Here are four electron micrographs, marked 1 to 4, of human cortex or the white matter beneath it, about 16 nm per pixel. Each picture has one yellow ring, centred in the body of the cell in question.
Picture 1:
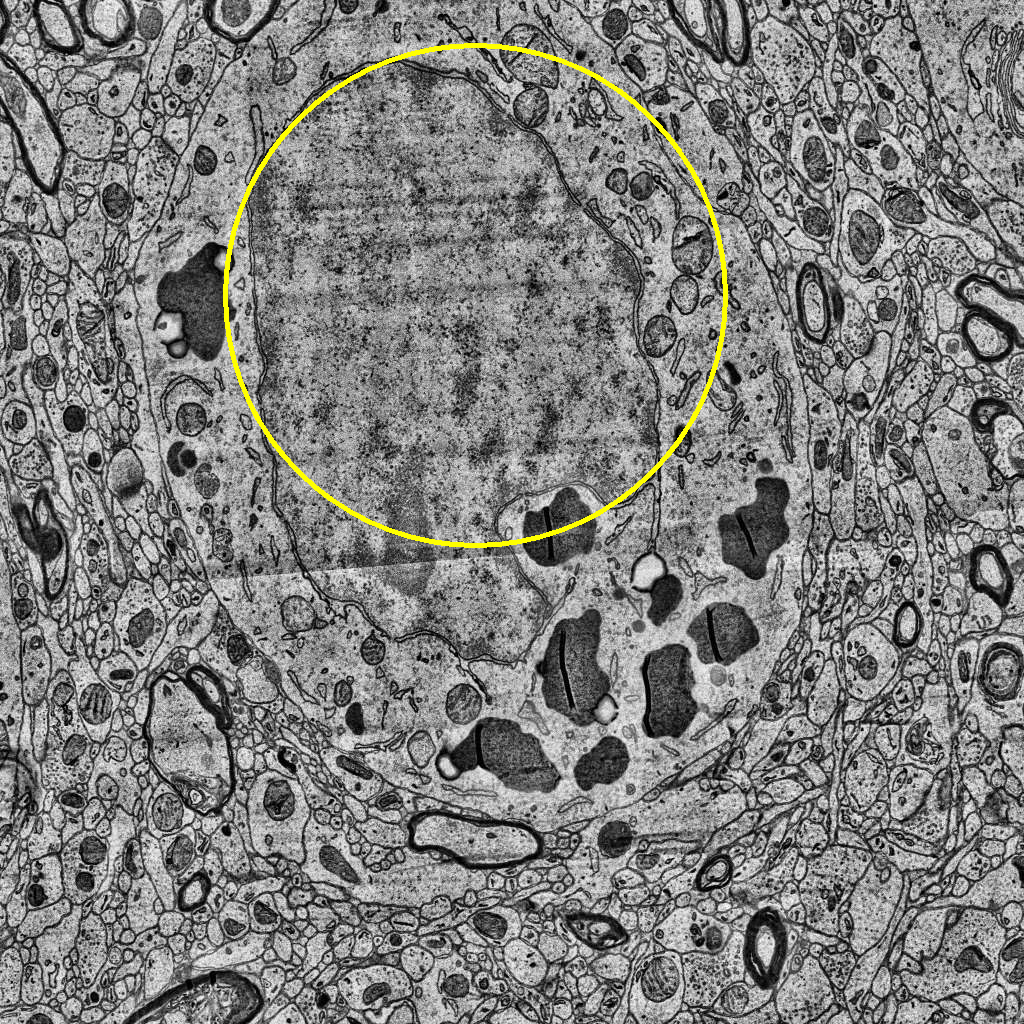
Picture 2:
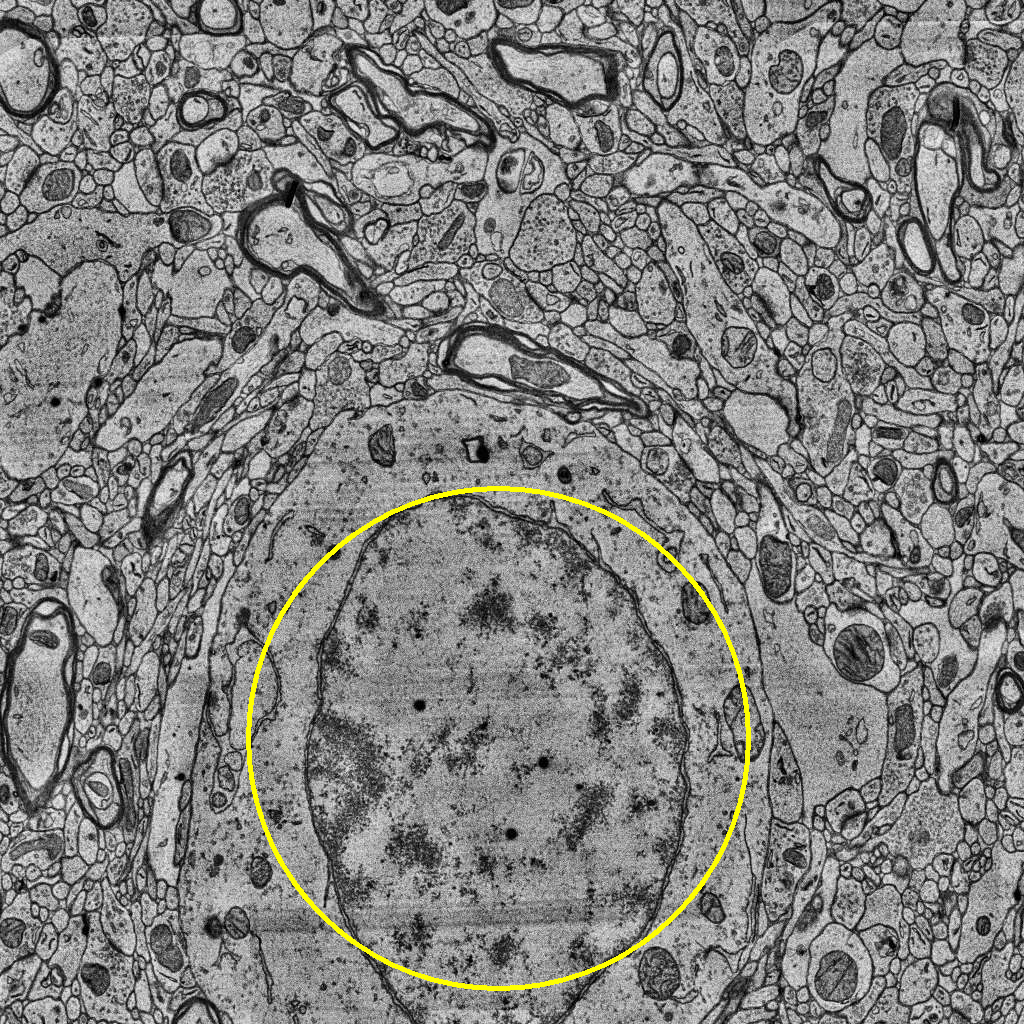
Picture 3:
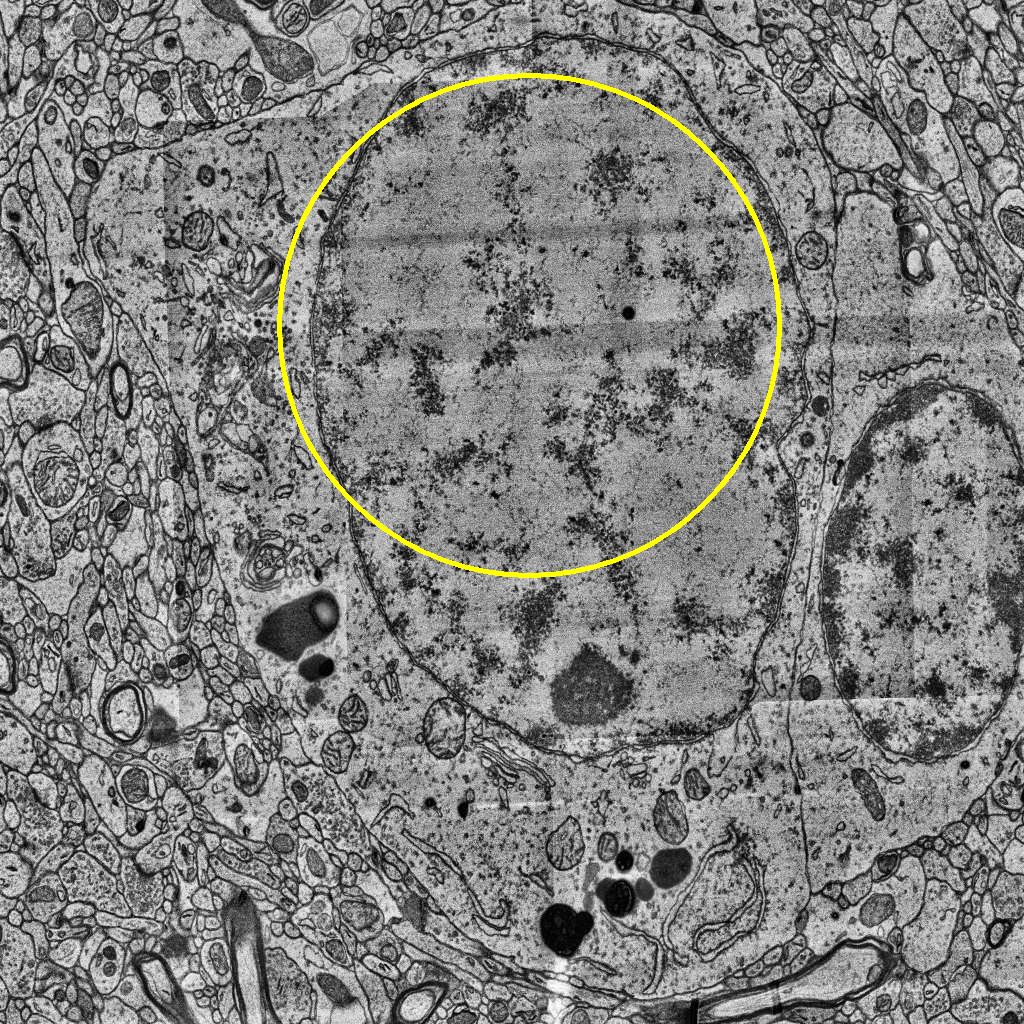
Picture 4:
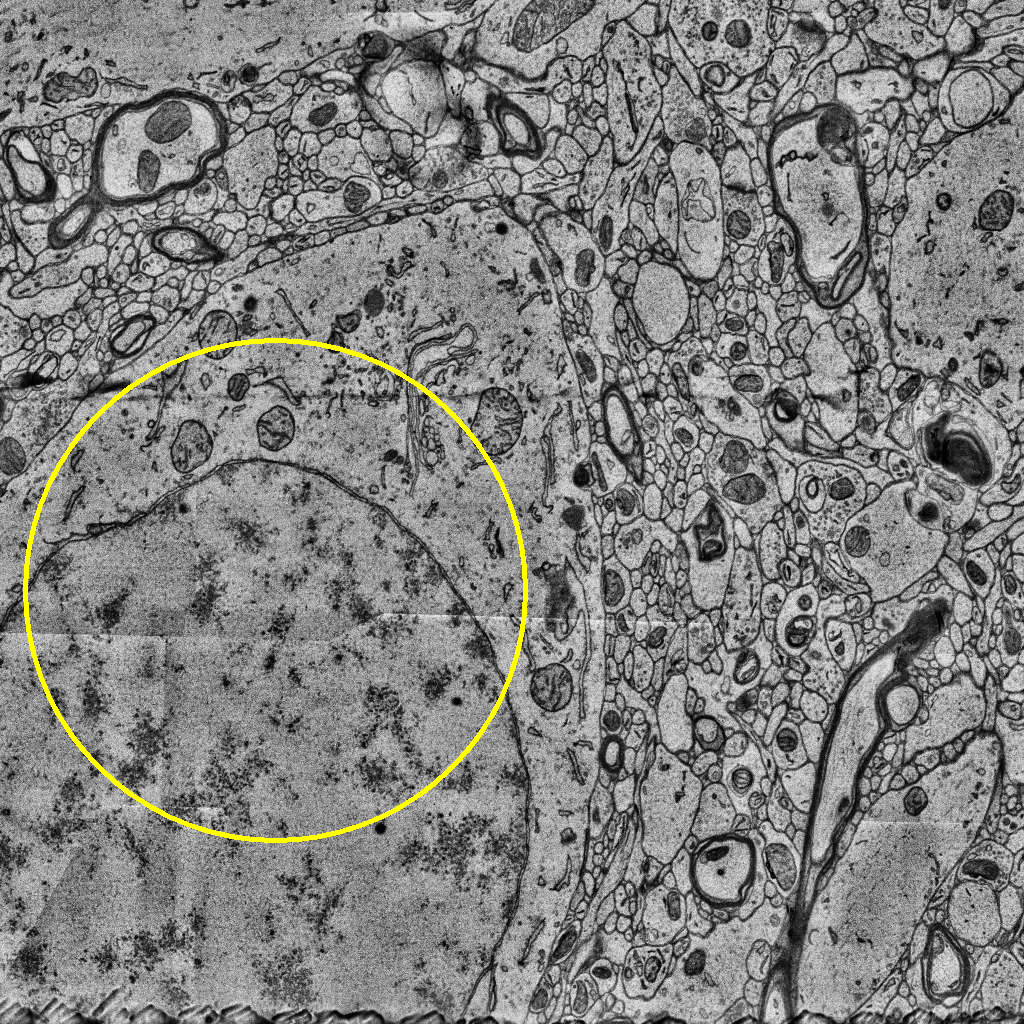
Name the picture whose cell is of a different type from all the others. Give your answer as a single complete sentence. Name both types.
All pictures except 1 show pyramidal neurons; picture 1 shows an interneuron.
